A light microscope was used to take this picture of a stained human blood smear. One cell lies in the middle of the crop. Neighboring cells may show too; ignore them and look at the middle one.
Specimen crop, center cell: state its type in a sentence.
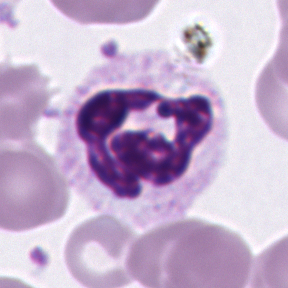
The cell of interest, in the center, is a neutrophil.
